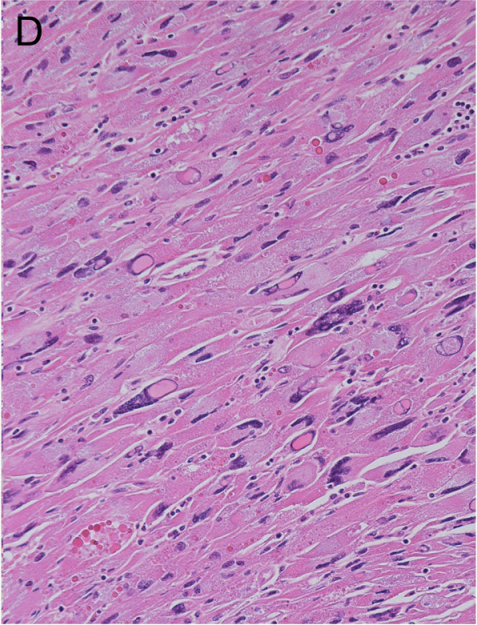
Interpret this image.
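Tumour growing in a solid sheet of elongated spindle cells aligned in parallel, with pink cytoplasm. Nuclei vary markedly in size and shape, many are dark and enlarged, some cells hold several nuclei, and several nuclei contain round pale pink inclusion-like bodies.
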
